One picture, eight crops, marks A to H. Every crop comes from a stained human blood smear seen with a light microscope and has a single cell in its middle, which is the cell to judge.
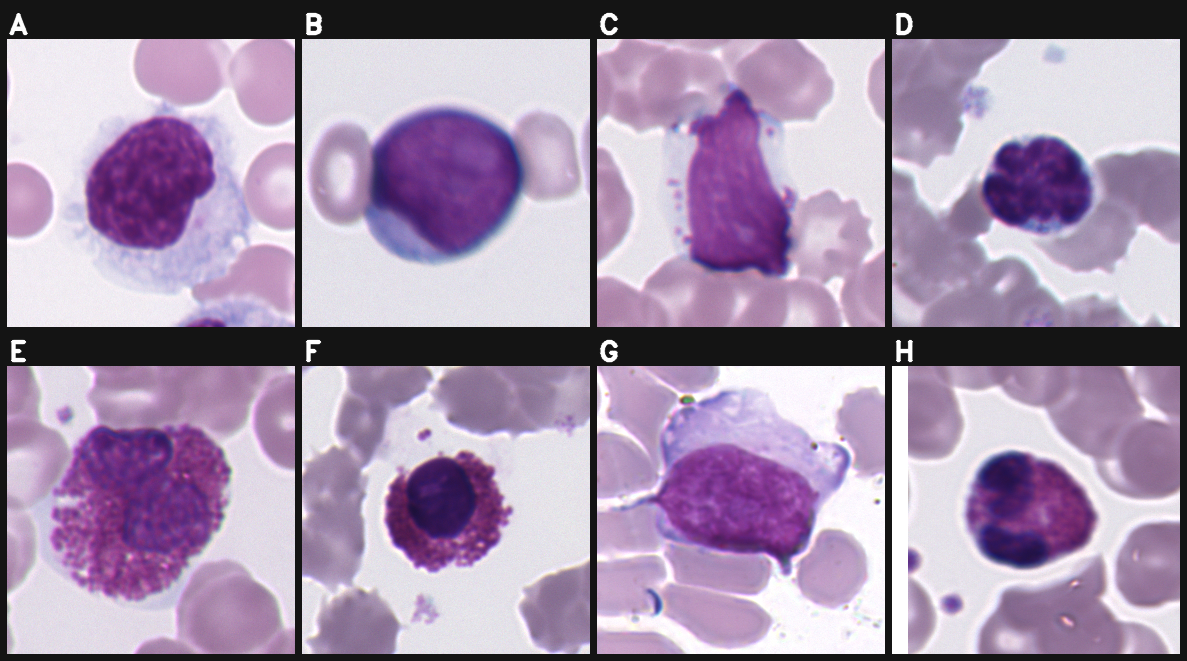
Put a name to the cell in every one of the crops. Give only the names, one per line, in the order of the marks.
hairy cell
myeloblast
large granular lymphocyte
typical lymphocyte
eosinophil
eosinophil
plasma cell
eosinophil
